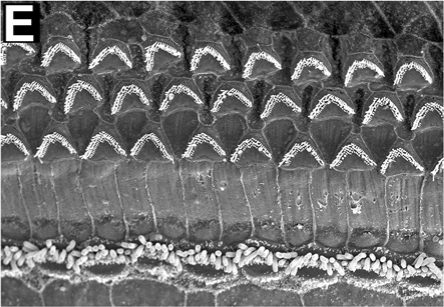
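Surface view of the organ of Corti with three rows of outer hair cells, each apex crowned by a V-shaped hair bundle of graded stereocilia, all oriented alike. Below lies a smooth band of supporting cell surfaces and a single row of inner hair cells with more linear bundles of stereocilia.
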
